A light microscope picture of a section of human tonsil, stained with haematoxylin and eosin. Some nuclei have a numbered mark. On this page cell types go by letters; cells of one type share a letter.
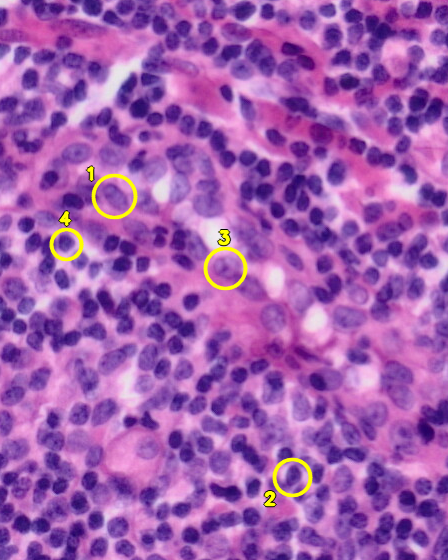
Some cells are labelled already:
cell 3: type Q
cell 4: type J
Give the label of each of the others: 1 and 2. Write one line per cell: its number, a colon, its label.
1: type Q
2: type J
